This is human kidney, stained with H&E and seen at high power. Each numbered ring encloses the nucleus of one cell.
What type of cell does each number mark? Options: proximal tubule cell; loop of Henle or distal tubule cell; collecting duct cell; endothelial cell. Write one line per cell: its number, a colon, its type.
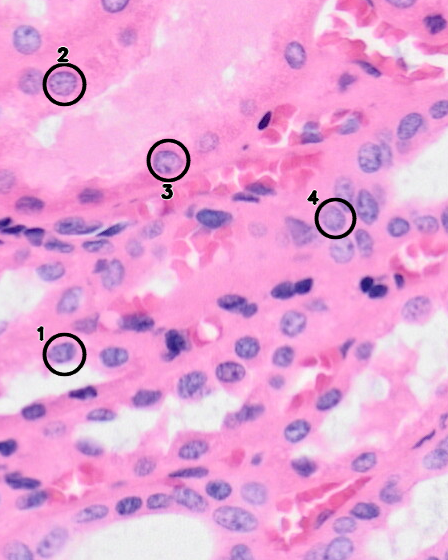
1: loop of Henle or distal tubule cell
2: proximal tubule cell
3: proximal tubule cell
4: collecting duct cell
